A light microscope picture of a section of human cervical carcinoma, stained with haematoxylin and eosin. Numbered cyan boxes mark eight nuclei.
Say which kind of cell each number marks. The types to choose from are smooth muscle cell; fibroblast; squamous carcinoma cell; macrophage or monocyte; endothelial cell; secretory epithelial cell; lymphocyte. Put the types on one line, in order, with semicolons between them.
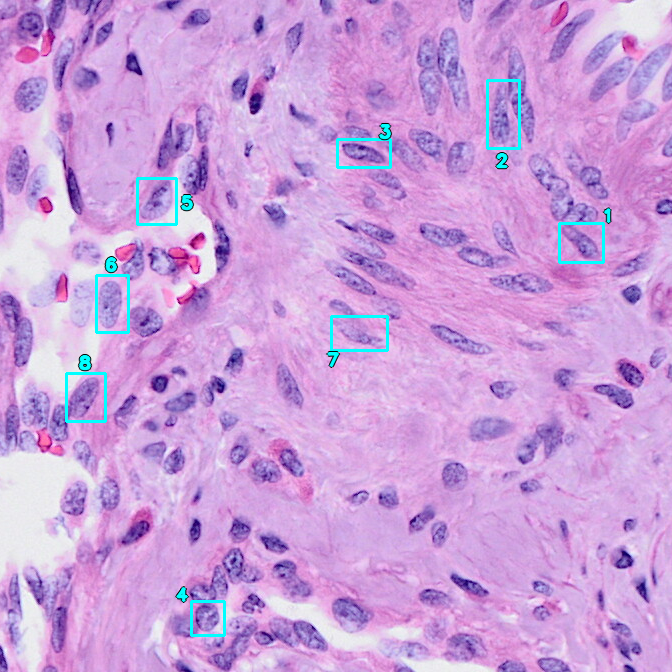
smooth muscle cell; smooth muscle cell; smooth muscle cell; endothelial cell; endothelial cell; endothelial cell; smooth muscle cell; endothelial cell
